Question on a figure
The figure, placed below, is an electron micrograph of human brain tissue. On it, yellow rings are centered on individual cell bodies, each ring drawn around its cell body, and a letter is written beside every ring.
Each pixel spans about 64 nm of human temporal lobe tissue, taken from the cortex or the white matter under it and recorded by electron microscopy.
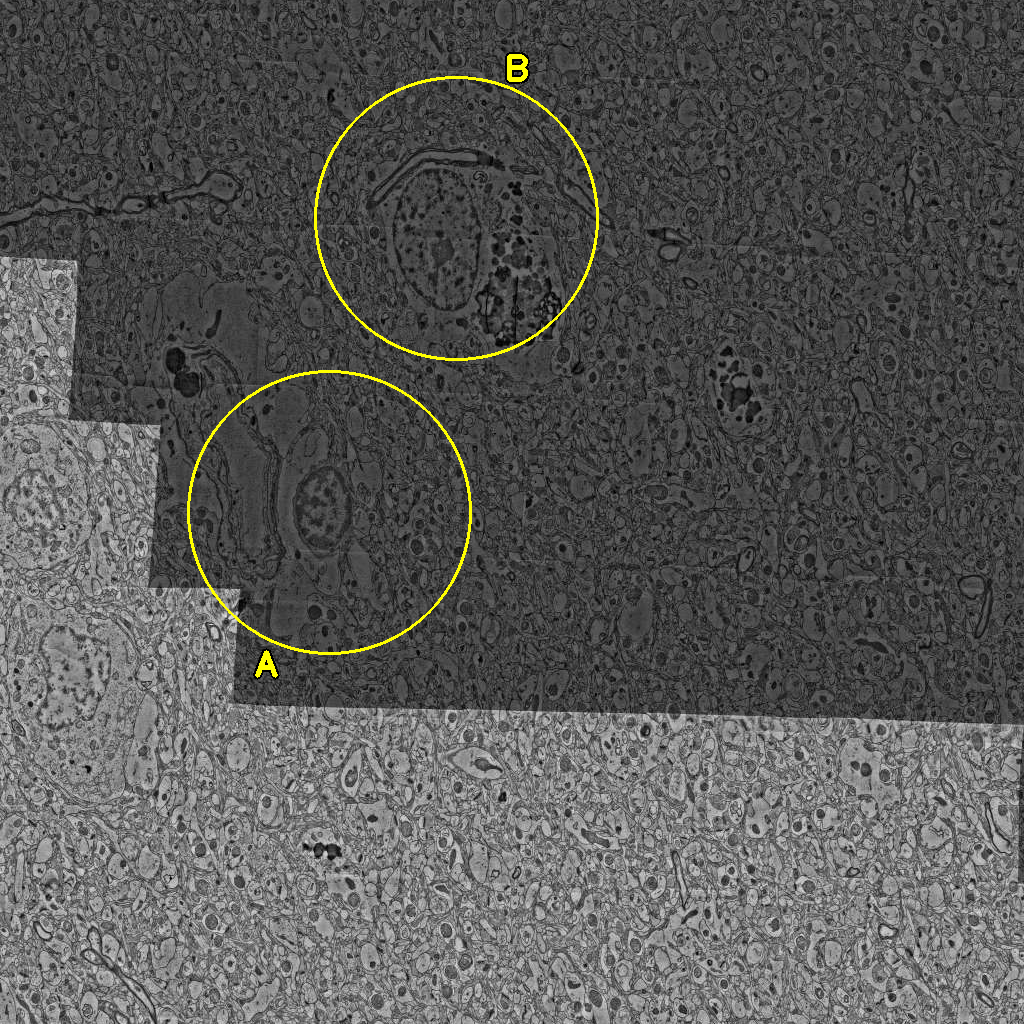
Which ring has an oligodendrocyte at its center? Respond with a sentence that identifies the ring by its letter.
The ring marked A has it at its center.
